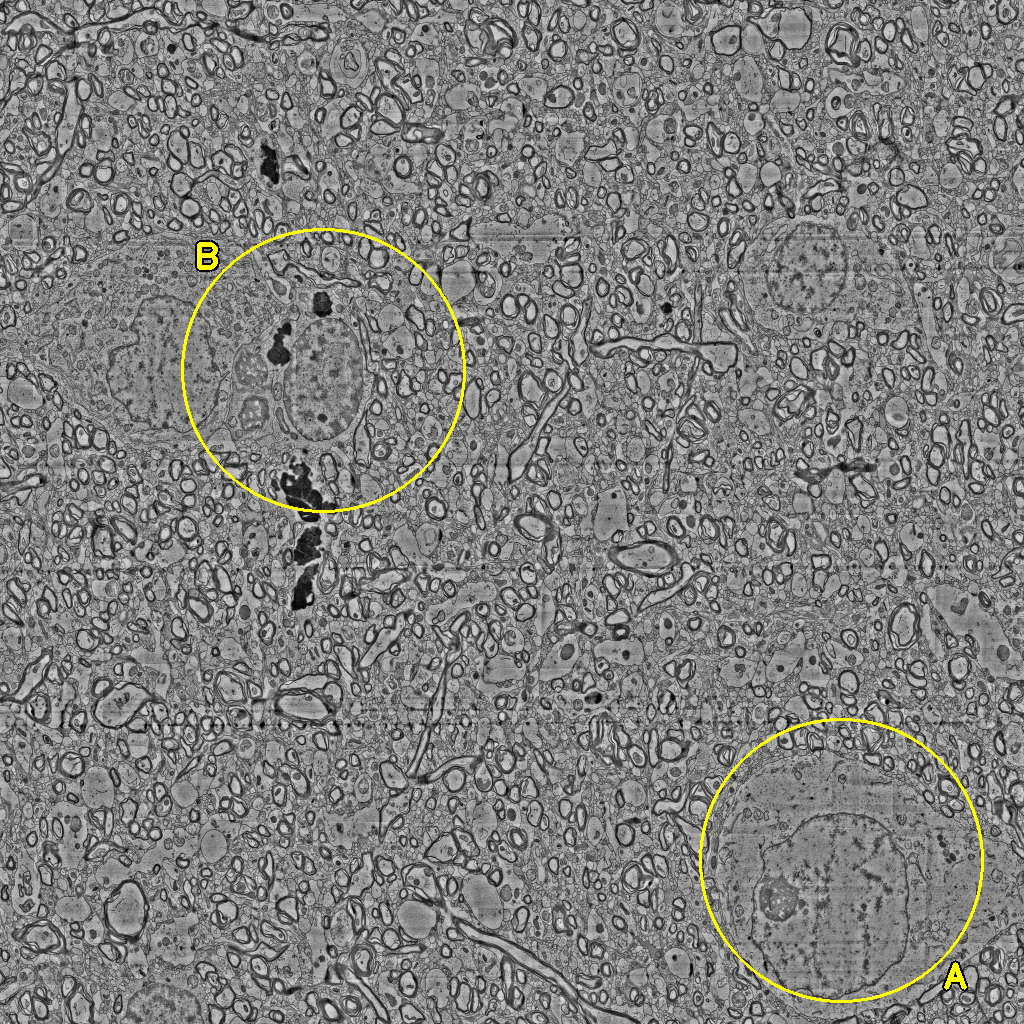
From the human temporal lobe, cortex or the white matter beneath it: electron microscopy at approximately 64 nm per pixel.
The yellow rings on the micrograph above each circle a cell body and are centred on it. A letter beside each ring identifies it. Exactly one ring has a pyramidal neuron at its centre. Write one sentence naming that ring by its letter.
Ring A is the one.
